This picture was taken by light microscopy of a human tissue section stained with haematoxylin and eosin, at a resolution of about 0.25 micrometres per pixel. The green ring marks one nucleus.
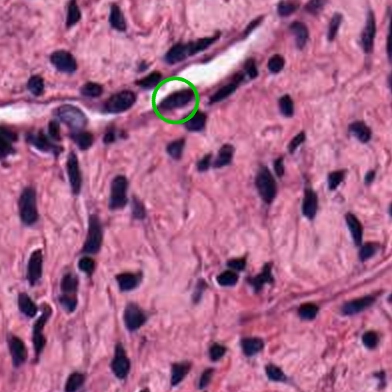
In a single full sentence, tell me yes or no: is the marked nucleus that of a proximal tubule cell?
No, the marked nucleus belongs to a supporting cell, and a proximal tubule cell is not its owner.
